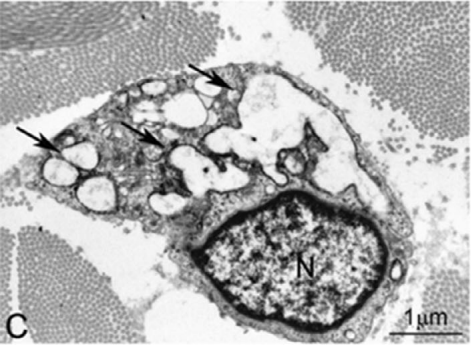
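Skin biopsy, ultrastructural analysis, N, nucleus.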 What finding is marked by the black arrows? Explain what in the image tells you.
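Swelling of the rough endoplasmic reticulum. The arrows point to rounded, electron-lucent dilated cisternae in the cytoplasm. Many such dilated spaces fill the cytoplasm beside the nucleus.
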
